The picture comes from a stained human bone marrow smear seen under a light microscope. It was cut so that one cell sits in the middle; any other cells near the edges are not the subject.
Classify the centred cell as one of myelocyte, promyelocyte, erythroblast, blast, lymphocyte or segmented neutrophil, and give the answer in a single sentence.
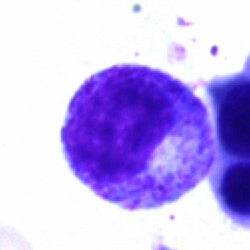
The cell occupying the middle of the crop is a myelocyte.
